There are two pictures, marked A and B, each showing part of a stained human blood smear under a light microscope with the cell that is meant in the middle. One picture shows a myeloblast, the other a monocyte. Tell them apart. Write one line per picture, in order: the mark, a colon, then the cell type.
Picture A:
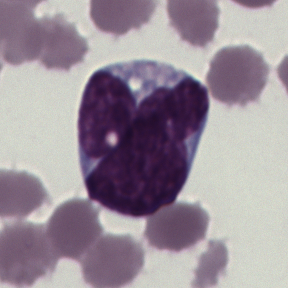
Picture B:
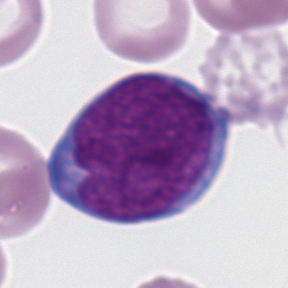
A: monocyte
B: myeloblast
